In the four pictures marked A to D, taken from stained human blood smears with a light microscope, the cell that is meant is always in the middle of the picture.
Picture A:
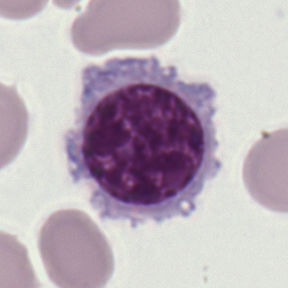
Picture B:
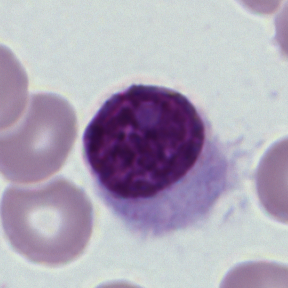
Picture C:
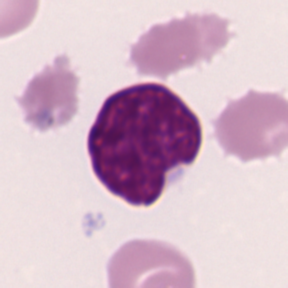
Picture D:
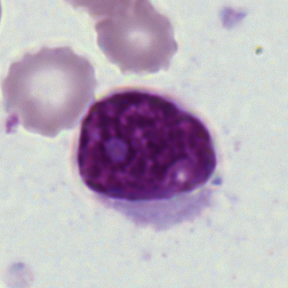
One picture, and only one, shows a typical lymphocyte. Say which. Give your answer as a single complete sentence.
The cell in picture C is the typical lymphocyte.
